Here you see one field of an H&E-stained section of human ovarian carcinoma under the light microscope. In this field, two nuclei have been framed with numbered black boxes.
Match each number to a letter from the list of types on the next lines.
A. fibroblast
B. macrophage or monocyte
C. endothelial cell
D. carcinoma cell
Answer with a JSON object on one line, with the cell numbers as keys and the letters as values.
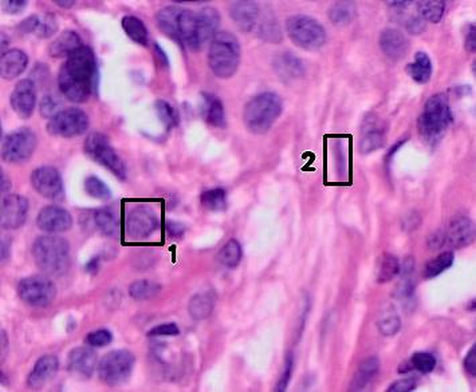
{"1": "D", "2": "A"}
